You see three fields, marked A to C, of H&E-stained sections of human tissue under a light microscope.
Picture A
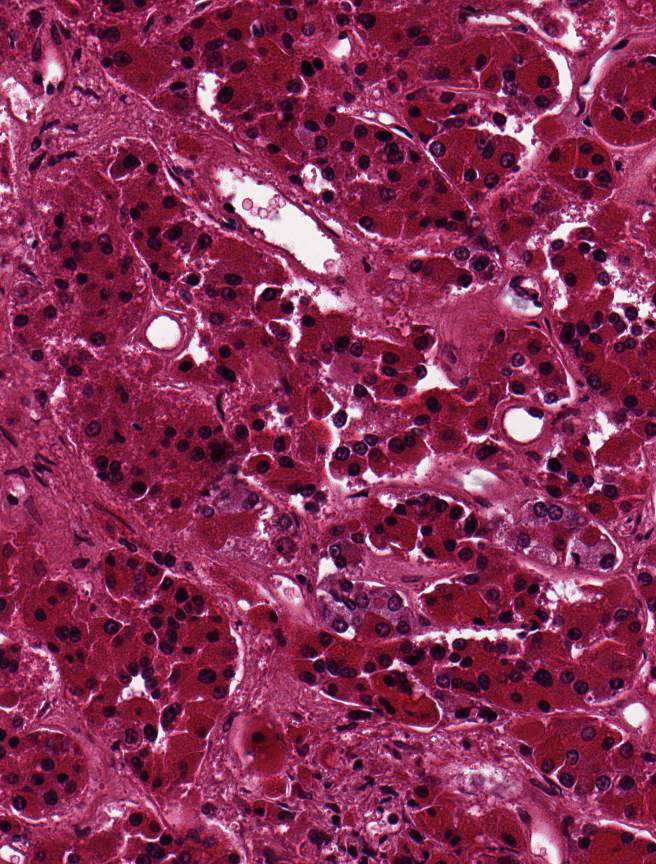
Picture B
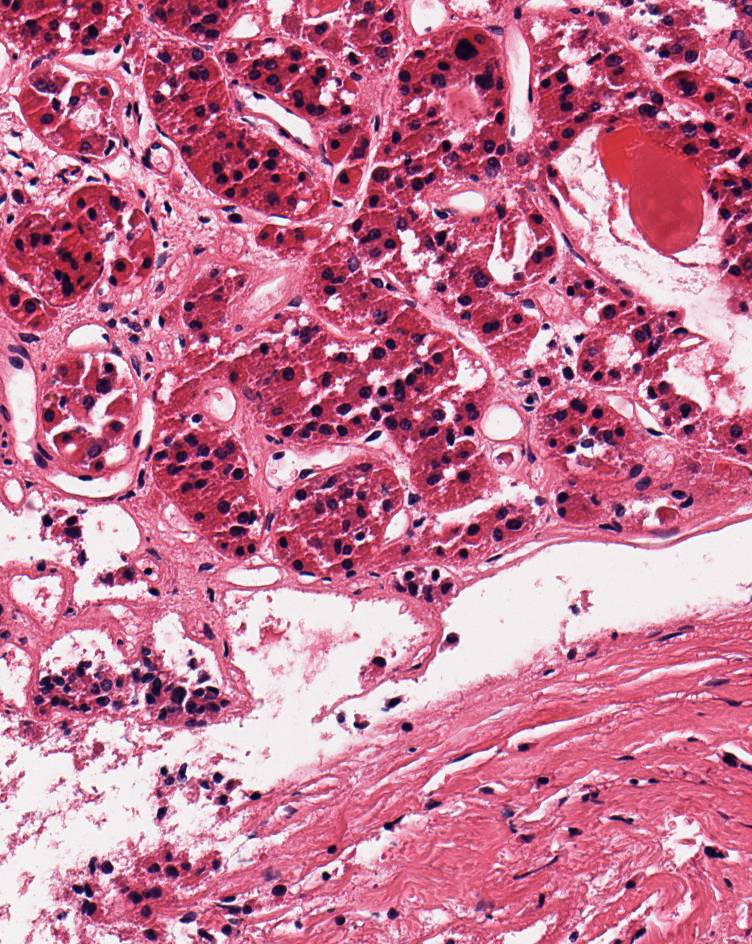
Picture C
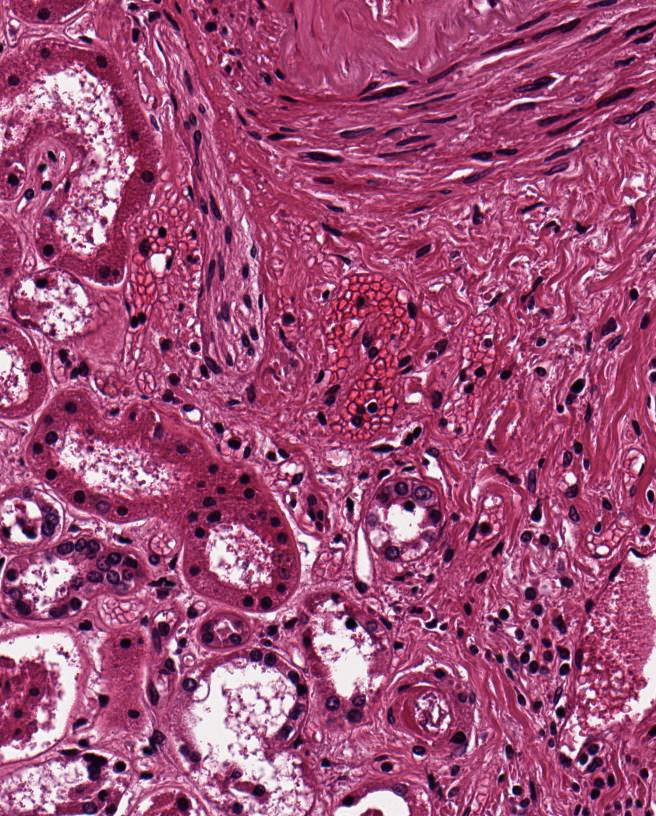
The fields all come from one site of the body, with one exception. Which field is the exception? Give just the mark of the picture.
C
